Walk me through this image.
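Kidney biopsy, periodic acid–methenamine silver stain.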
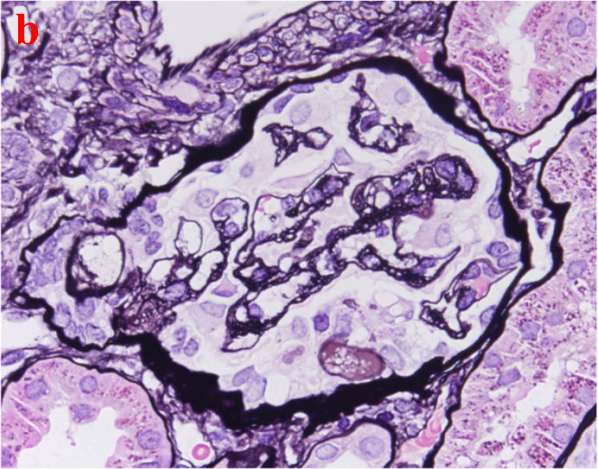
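Renal glomerulus with a shrunken, wrinkled capillary tuft. Silver-black capillary walls are crumpled and collapsed with few open lumina. Large pale epithelial cells with glassy pale cytoplasm and round nuclei crowd the space around the tuft. Bowman's capsule is thick and deep black. At one pole a rounded space holds pale, vacuolated, foamy material. Surrounding tubules show pink granular cytoplasm; interstitium beside the capsule is widened with dark fibres.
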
